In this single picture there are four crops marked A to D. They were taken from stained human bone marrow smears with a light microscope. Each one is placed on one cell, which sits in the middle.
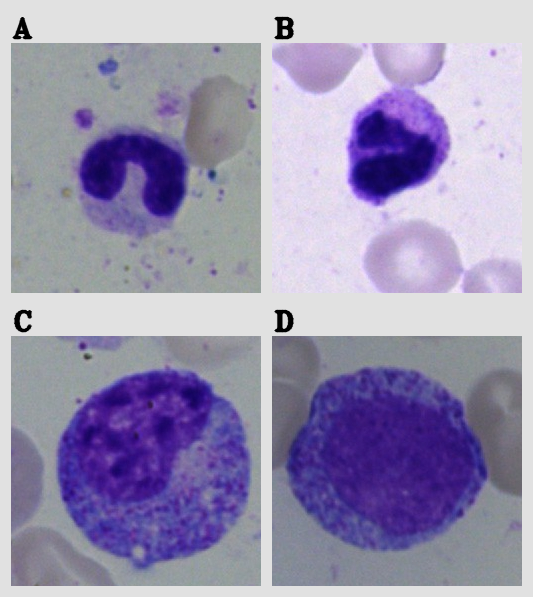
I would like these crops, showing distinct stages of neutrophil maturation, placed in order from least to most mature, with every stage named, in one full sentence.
The arrangement from least to most mature is crop D (a promyelocyte), crop C (a metamyelocyte), crop A (a band neutrophil) and crop B (a segmented neutrophil).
